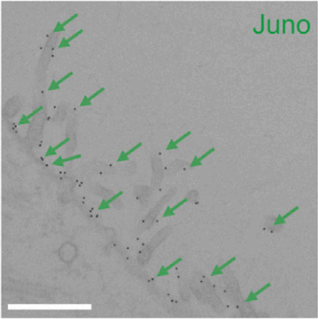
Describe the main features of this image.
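The microvilli appear as pale, elongated profiles cut at various angles, some lengthwise and some obliquely. Small dark round particles lie along the membrane, both on the flat stretches of membrane and along the microvilli, and several are pointed out by green arrows. Membrane-bound vesicles are visible in the cytoplasm beneath the surface.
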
